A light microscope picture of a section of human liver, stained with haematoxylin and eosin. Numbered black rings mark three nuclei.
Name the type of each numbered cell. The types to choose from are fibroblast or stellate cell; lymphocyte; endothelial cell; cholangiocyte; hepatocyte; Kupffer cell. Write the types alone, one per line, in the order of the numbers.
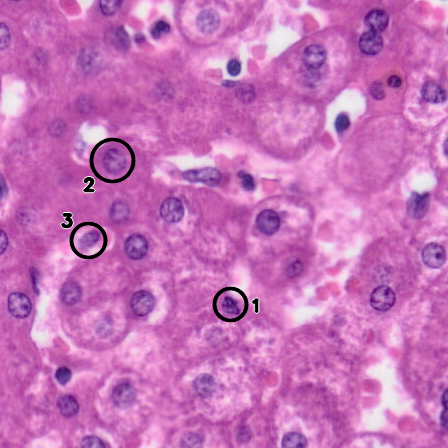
fibroblast or stellate cell
hepatocyte
Kupffer cell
